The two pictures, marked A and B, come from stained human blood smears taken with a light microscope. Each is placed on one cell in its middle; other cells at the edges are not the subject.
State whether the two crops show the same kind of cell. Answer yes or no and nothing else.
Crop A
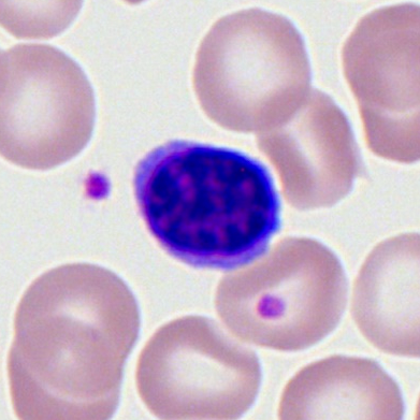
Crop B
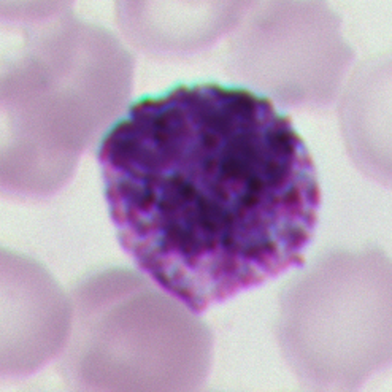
no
